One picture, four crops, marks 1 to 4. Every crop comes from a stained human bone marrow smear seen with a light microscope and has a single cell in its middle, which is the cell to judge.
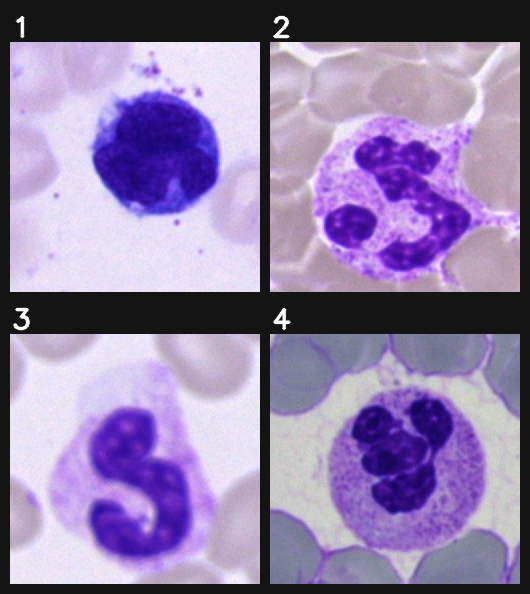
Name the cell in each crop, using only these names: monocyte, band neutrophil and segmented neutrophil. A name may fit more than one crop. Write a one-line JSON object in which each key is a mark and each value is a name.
{"1": "monocyte", "2": "segmented neutrophil", "3": "band neutrophil", "4": "segmented neutrophil"}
